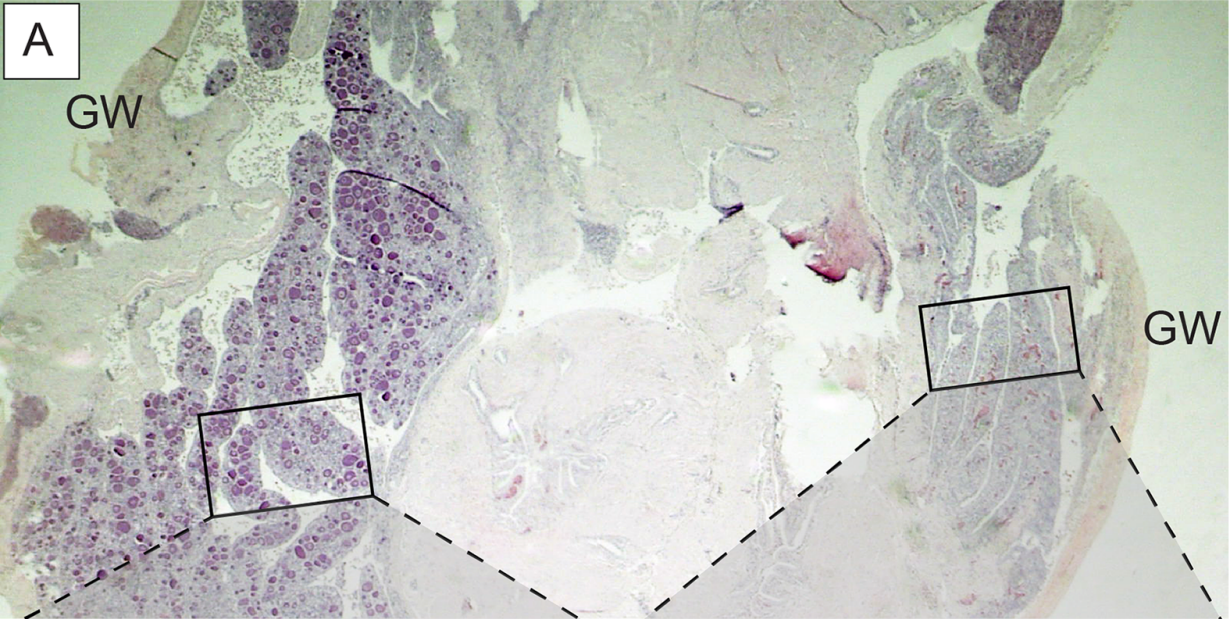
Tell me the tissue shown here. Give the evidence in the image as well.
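The left lamellae are packed with round purple-staining cells of varying size.
Hence: gonad.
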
